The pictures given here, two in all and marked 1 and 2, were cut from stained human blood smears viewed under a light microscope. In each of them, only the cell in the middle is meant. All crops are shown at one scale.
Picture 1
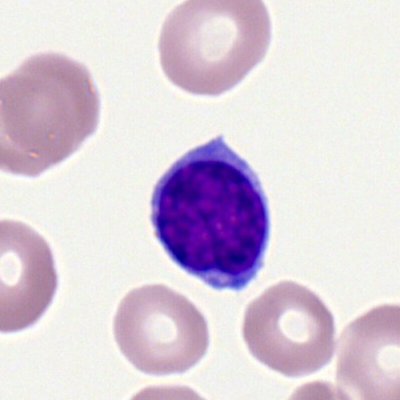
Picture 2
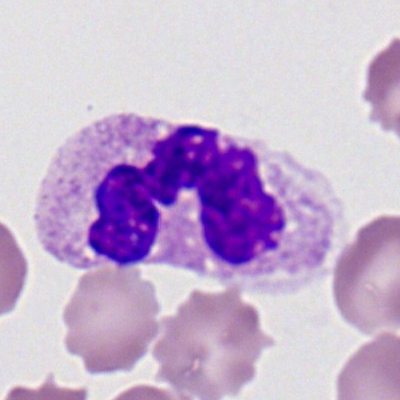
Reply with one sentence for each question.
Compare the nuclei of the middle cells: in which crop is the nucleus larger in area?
The nucleus in picture 2 is larger, with about 1.5 times the area of the one in picture 1.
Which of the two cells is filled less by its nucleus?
Of the two, the nucleus in picture 2 leaves more room for cytoplasm.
